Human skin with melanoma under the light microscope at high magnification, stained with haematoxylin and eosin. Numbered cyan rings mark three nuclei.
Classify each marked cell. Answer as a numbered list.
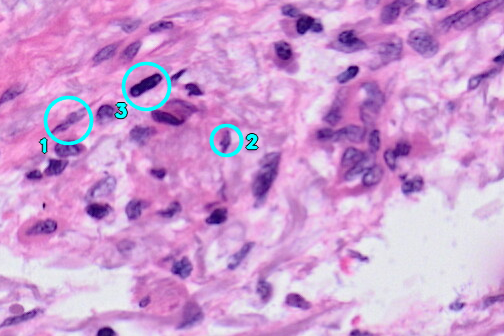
1. fibroblast or myofibroblast
2. fibroblast or myofibroblast
3. lymphocyte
